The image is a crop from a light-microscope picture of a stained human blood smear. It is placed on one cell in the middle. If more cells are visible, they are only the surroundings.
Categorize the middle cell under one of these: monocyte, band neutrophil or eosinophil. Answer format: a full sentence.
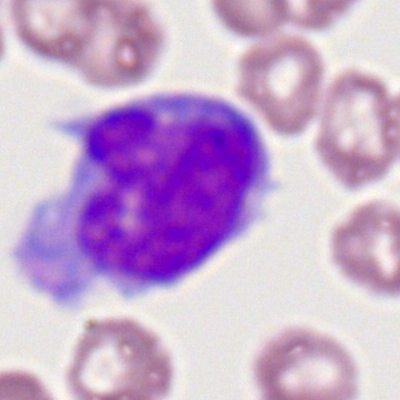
Classified as a monocyte is the cell in the middle of this crop.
